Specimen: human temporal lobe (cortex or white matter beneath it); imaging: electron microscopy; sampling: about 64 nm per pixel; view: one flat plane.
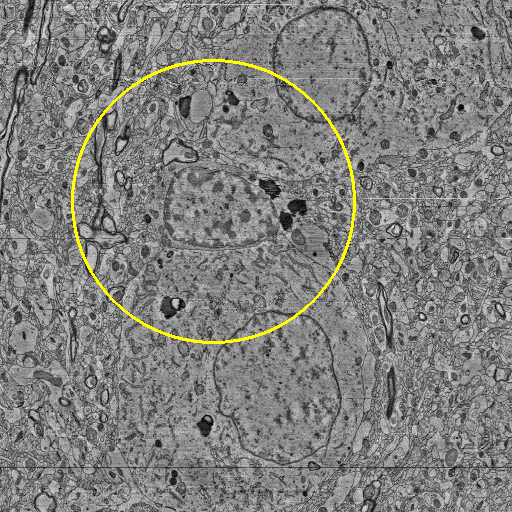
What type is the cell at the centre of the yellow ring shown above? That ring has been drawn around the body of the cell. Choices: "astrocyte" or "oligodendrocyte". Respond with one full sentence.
My answer is that an oligodendrocyte lies at the centre of the yellow ring above.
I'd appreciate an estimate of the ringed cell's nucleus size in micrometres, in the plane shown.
In this plane, the nucleus of the cell at the centre of the ring measures about 7 by 6 micrometres.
